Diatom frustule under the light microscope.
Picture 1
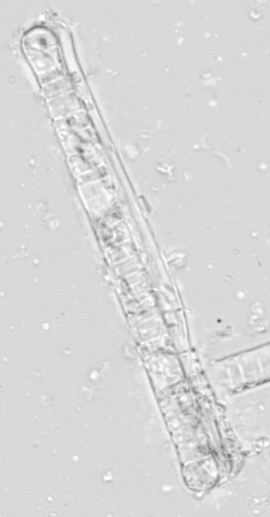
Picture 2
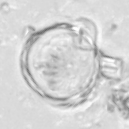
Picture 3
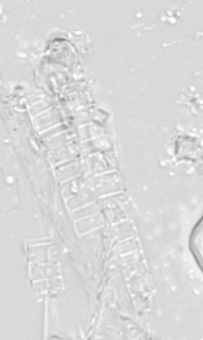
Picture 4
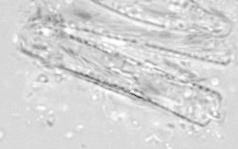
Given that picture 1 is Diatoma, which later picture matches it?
3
